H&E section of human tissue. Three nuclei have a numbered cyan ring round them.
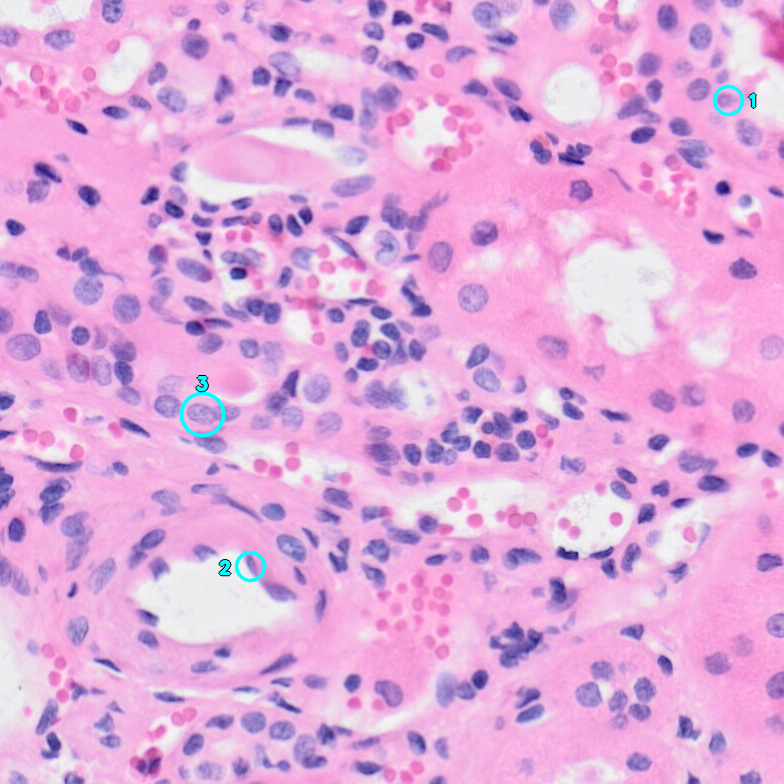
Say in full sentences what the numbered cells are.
Cells 1 and 3 are collecting duct cells. Cell 2 is an endothelial cell.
